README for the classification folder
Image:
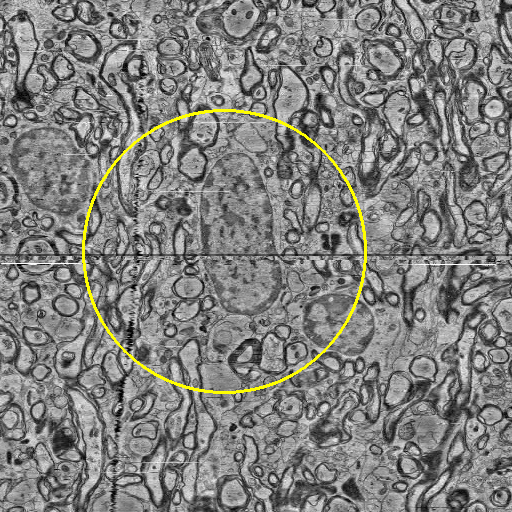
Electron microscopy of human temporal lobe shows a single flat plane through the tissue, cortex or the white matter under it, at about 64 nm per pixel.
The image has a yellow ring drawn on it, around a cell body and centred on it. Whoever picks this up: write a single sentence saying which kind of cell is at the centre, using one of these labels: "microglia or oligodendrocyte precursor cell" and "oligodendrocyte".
This cell body is that of a microglial cell or oligodendrocyte precursor cell.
